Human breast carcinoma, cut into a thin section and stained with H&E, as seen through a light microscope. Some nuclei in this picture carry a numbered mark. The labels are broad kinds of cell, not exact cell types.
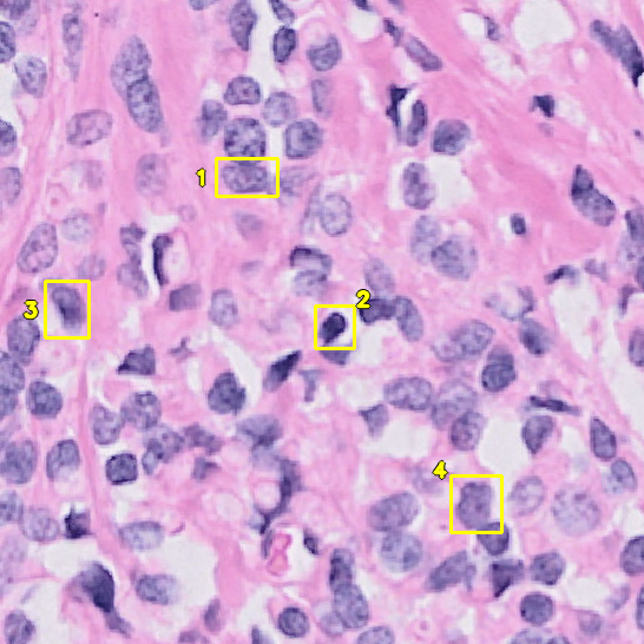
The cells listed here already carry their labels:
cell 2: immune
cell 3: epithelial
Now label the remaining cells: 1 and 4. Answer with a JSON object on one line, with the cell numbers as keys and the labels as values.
{"1": "epithelial", "4": "epithelial"}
